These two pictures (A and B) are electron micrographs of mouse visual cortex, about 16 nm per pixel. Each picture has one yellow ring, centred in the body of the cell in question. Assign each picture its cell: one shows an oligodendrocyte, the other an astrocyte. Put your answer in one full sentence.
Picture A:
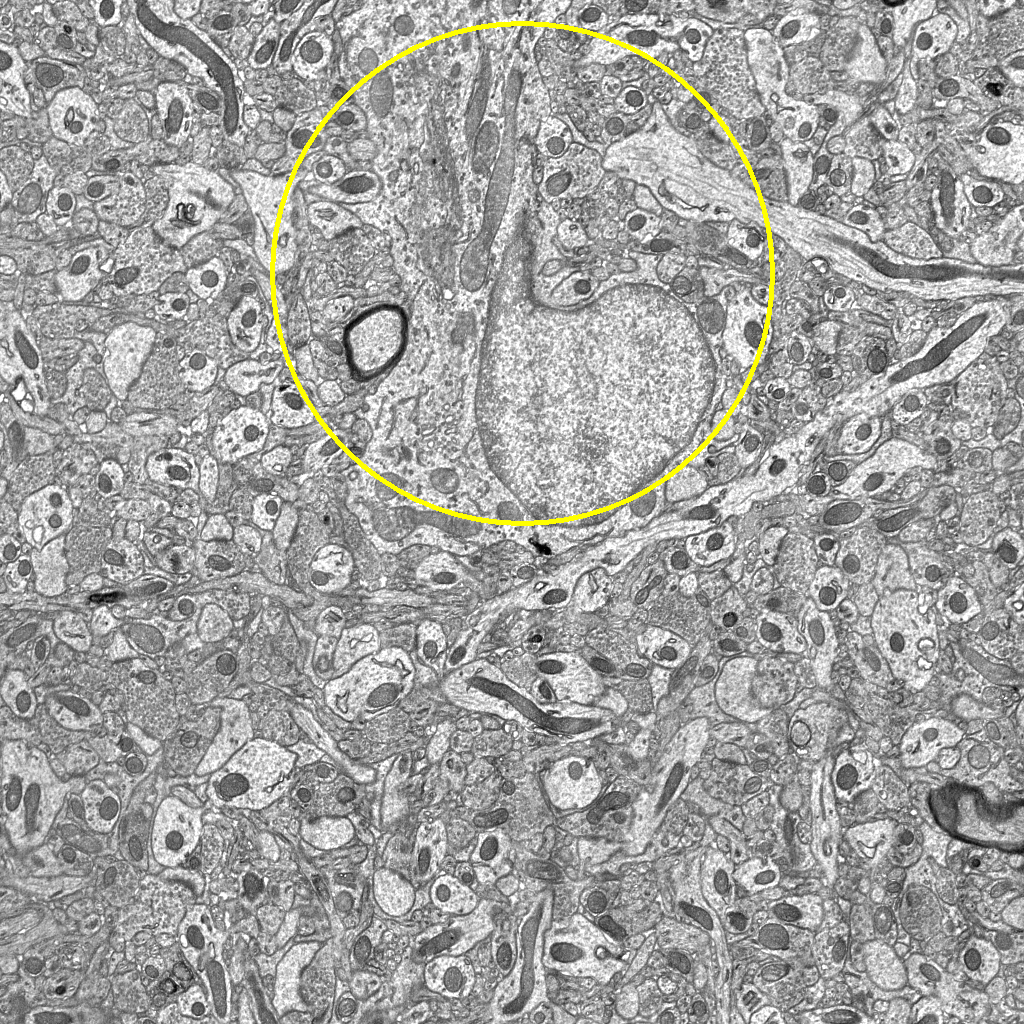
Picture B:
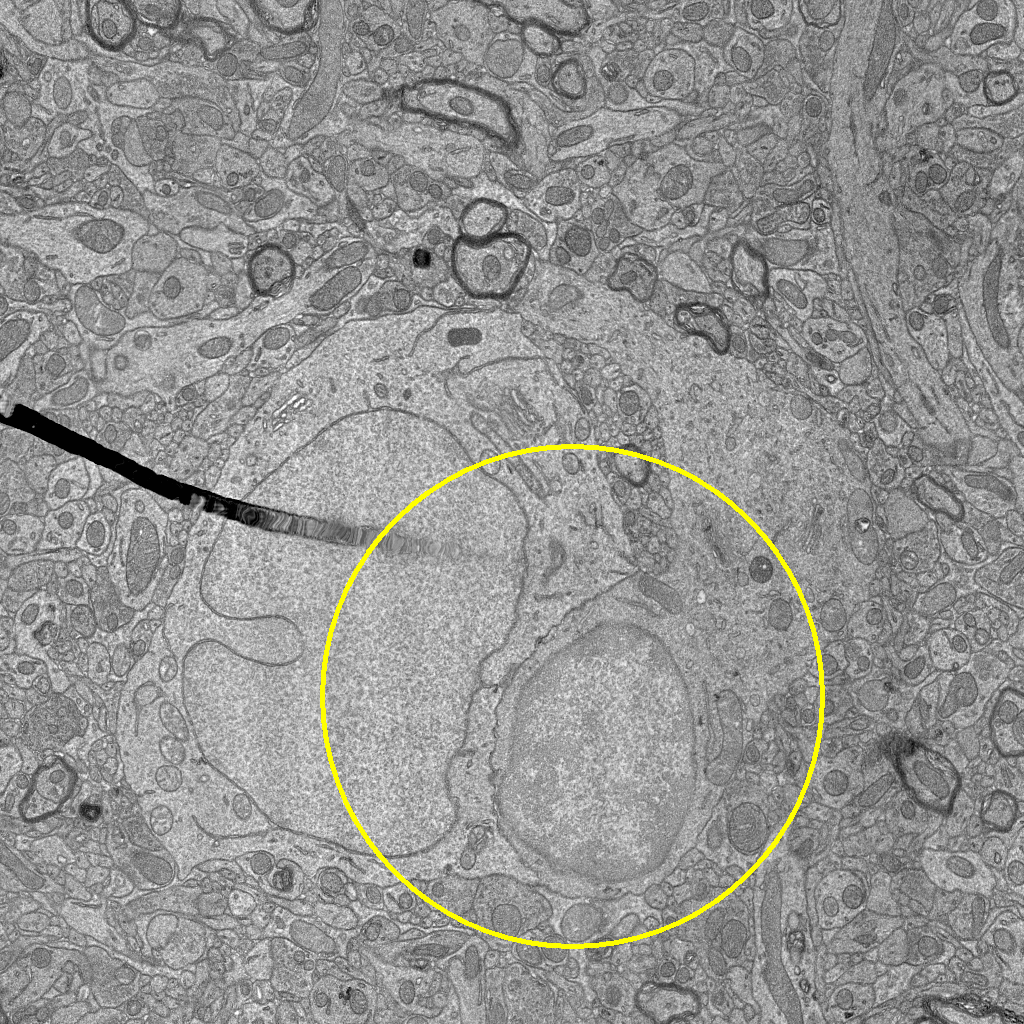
The cell in picture A is an astrocyte, and the one in picture B is an oligodendrocyte.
